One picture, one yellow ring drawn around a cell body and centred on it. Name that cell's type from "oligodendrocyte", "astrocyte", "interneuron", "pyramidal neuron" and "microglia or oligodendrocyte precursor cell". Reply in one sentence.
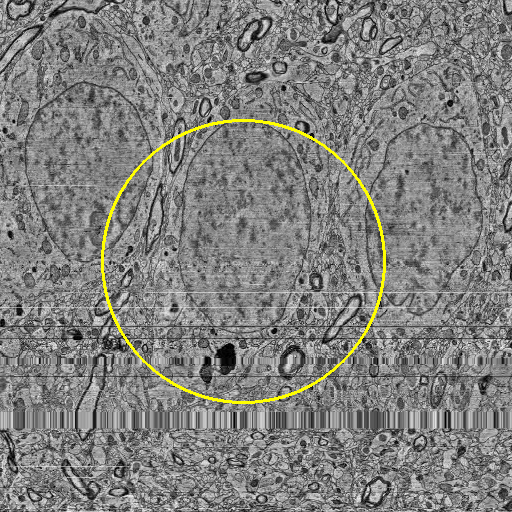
Centred in the ring is a pyramidal neuron.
